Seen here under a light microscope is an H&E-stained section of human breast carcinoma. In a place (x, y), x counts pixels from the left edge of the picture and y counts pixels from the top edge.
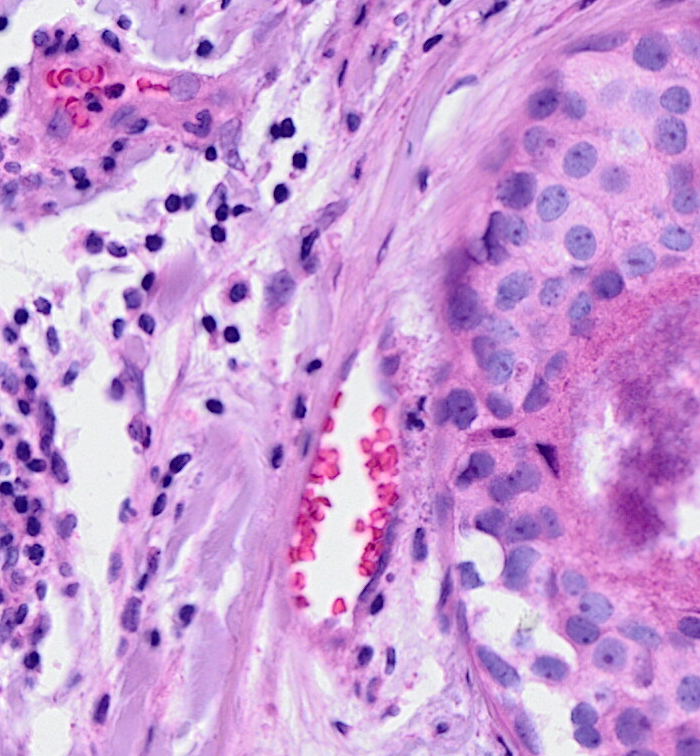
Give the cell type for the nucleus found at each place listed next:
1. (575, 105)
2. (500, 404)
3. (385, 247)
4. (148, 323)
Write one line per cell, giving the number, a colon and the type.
1: carcinoma cell
2: carcinoma cell
3: fibroblast
4: lymphocyte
